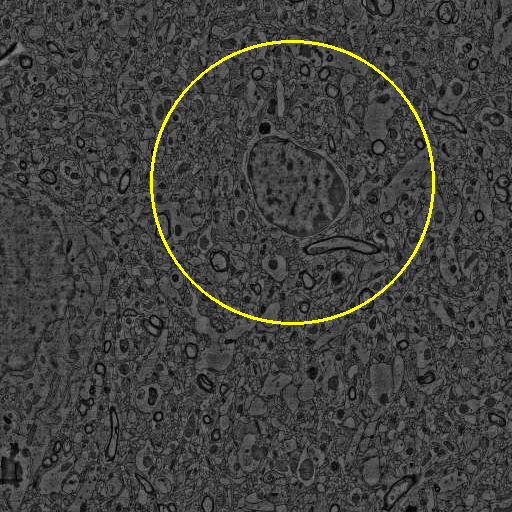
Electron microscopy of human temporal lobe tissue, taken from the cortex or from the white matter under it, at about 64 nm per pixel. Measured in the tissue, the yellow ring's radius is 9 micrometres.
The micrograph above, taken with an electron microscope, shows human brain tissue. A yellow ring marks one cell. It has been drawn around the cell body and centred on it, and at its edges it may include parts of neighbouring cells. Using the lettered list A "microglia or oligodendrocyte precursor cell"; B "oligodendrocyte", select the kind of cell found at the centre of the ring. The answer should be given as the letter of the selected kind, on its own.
A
